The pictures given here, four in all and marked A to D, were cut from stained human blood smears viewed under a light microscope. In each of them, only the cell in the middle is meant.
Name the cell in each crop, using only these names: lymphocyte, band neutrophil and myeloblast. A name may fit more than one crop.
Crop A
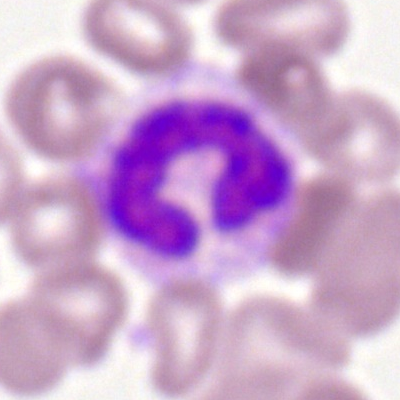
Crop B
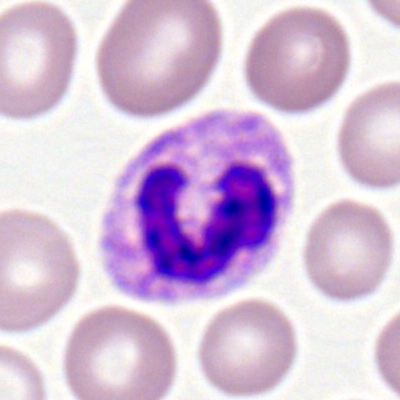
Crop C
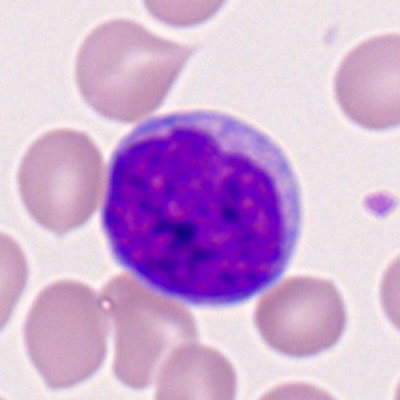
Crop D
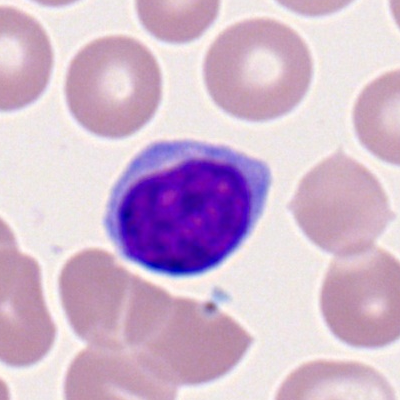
A: band neutrophil
B: band neutrophil
C: myeloblast
D: lymphocyte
